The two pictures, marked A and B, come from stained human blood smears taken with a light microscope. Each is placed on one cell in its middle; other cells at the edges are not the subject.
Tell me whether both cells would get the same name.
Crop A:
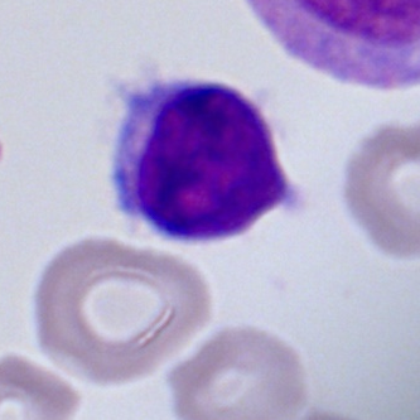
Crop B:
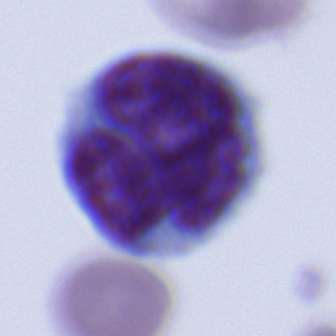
no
